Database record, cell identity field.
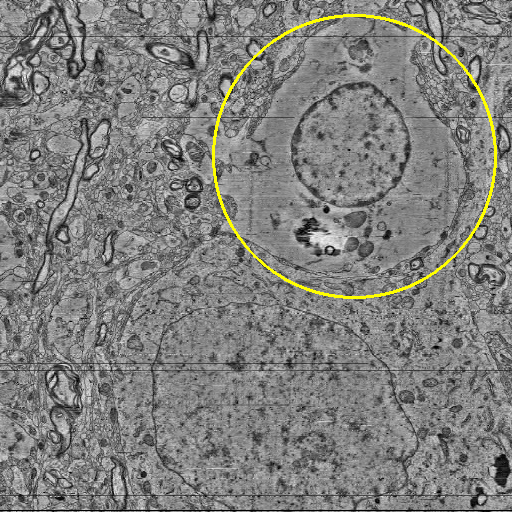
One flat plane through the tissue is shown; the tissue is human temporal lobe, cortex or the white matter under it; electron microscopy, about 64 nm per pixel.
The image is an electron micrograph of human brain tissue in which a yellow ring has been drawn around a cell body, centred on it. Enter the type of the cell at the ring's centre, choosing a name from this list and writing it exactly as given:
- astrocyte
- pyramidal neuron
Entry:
astrocyte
